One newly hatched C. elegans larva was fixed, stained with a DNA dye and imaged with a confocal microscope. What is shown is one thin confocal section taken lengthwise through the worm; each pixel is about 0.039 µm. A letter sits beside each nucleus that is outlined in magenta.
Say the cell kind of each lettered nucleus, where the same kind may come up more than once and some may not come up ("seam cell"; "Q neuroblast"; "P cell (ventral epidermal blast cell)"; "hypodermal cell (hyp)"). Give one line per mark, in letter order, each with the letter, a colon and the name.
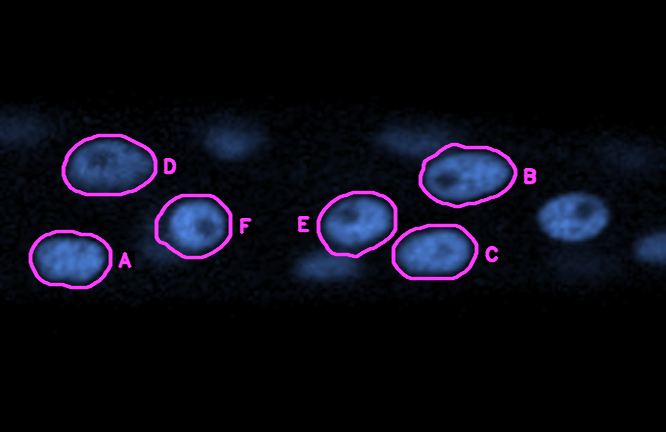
A: P cell (ventral epidermal blast cell)
B: hypodermal cell (hyp)
C: P cell (ventral epidermal blast cell)
D: hypodermal cell (hyp)
E: seam cell
F: Q neuroblast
